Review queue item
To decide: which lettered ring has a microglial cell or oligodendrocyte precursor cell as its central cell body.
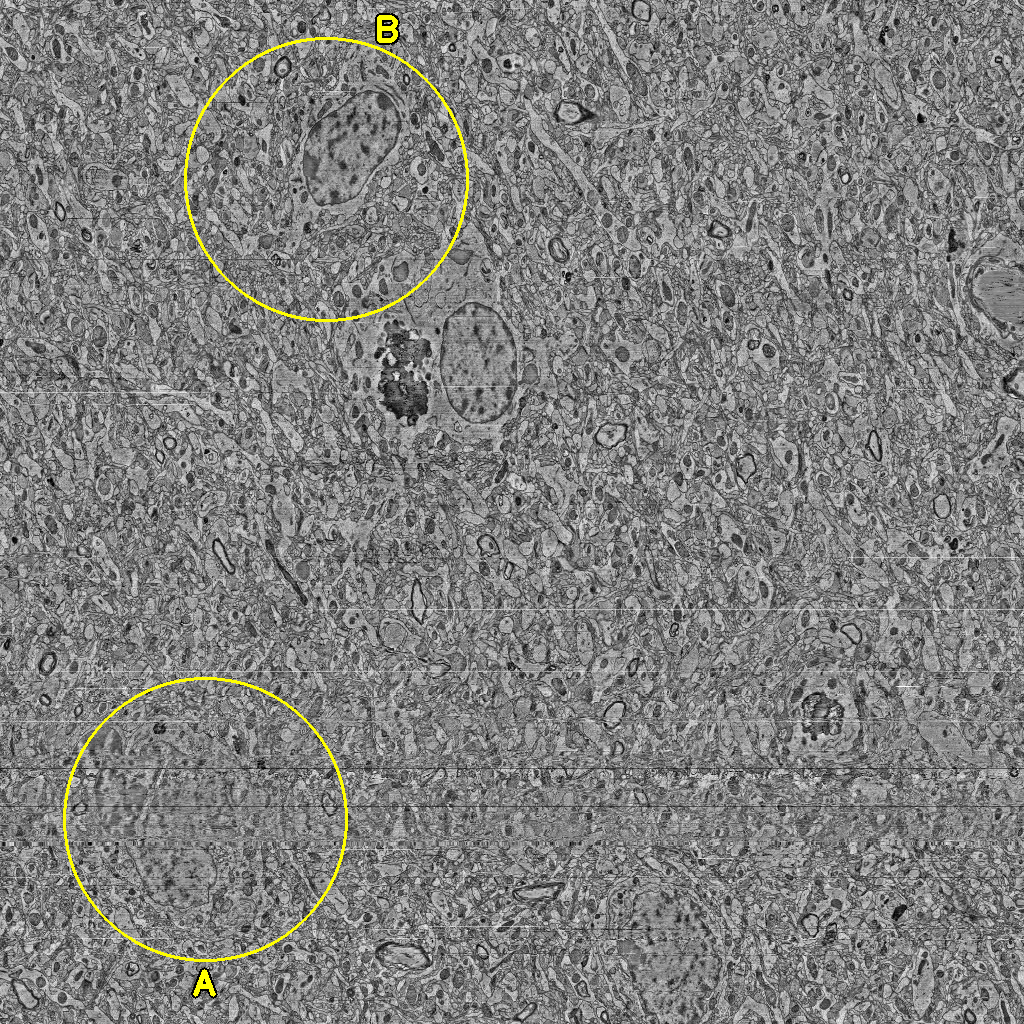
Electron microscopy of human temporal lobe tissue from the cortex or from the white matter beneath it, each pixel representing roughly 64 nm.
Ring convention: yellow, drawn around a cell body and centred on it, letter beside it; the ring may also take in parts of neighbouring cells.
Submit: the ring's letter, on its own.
B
